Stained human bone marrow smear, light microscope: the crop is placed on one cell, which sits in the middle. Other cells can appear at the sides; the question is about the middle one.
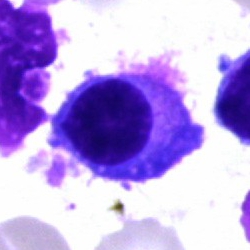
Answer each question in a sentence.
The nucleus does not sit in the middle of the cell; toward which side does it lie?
Seen from the middle of the cell, the nucleus lies toward the left.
